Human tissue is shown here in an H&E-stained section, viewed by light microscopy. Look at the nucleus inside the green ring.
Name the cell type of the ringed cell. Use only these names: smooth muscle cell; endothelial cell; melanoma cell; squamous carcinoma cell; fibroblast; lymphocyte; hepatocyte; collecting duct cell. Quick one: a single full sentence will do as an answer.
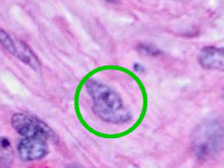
The expected answer is simply that the ringed cell is a fibroblast.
